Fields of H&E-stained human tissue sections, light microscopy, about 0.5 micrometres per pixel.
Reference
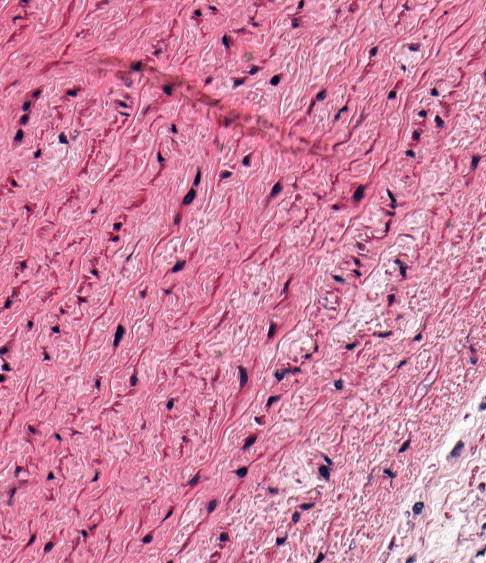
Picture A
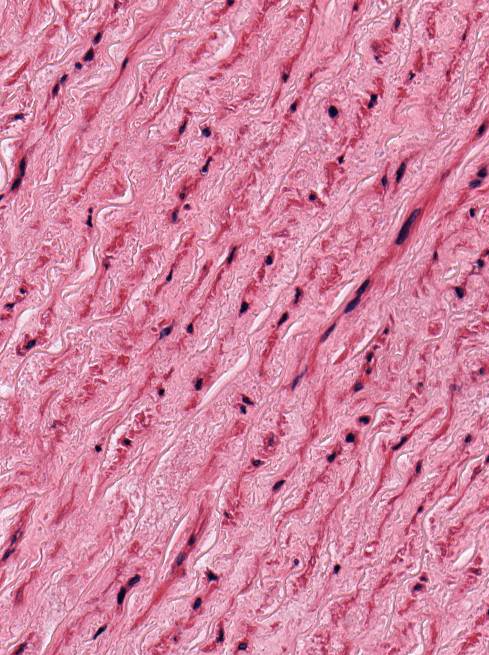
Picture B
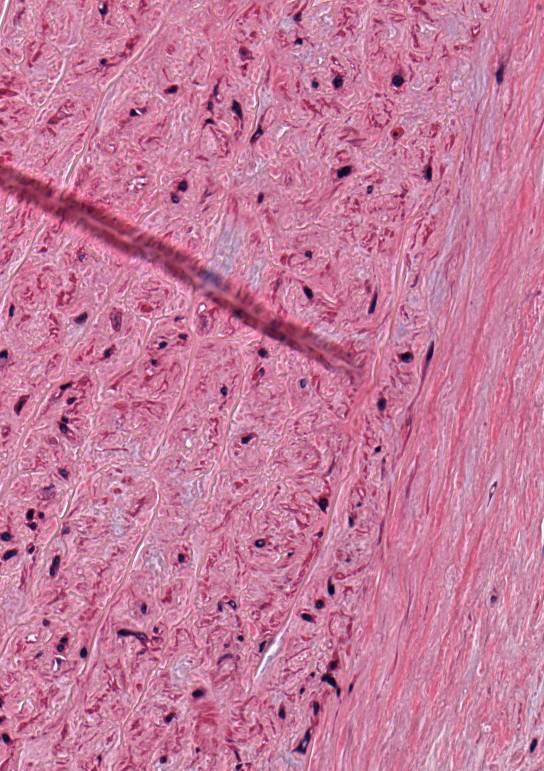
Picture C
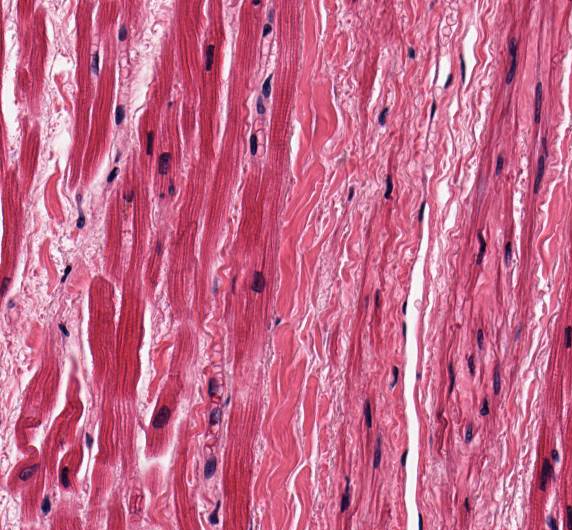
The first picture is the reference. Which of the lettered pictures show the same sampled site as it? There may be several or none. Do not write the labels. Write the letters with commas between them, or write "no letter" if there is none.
A, B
